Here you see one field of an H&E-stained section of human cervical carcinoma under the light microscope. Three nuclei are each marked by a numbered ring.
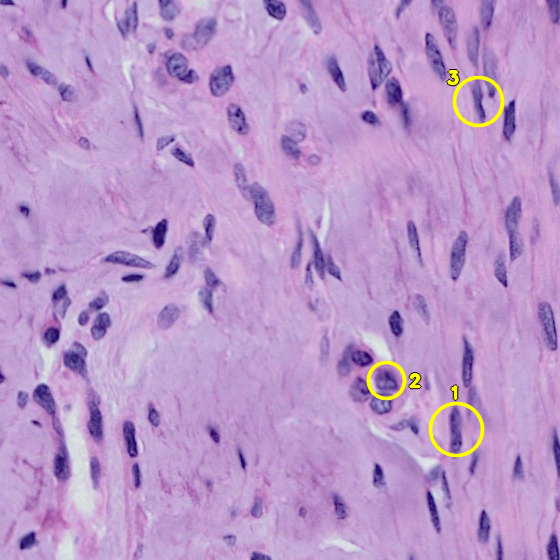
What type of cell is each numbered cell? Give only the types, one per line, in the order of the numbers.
fibroblast
endothelial cell
fibroblast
